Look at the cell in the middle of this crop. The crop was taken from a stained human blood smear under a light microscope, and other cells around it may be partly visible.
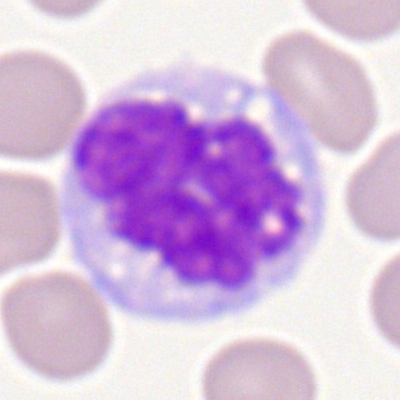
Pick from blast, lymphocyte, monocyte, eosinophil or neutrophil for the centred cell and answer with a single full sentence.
The cell of interest, in the center, is a monocyte.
